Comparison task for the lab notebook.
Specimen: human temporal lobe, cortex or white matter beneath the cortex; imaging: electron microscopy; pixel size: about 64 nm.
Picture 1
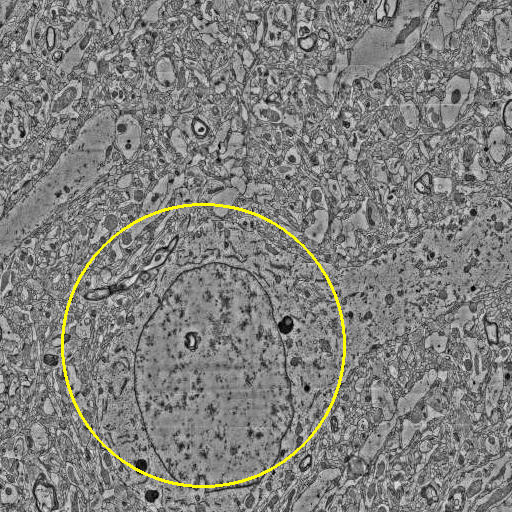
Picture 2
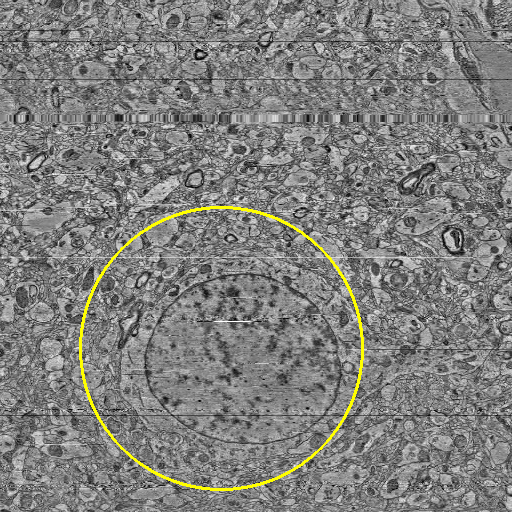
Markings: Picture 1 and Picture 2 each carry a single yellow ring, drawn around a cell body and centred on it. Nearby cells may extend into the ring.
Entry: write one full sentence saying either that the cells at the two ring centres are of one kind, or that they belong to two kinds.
The cells sitting at the ring centres in Picture 1 and Picture 2 are of one kind.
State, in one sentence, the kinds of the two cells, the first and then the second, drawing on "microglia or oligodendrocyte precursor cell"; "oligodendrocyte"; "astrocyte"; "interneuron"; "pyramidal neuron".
Each one of the two ringed cells is a pyramidal neuron.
